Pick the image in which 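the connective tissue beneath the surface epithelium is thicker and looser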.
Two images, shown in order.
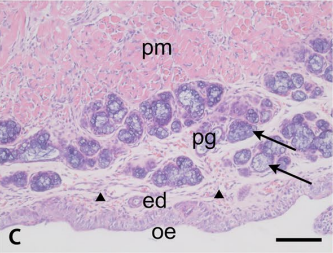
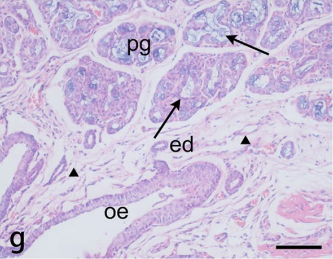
The second image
